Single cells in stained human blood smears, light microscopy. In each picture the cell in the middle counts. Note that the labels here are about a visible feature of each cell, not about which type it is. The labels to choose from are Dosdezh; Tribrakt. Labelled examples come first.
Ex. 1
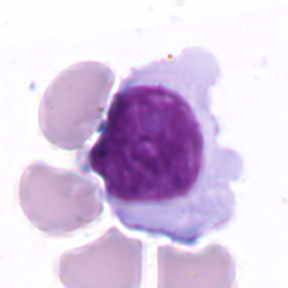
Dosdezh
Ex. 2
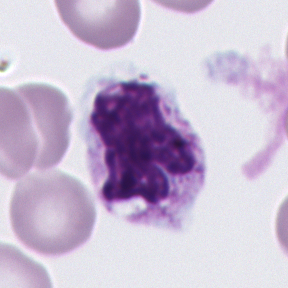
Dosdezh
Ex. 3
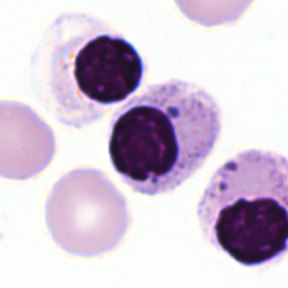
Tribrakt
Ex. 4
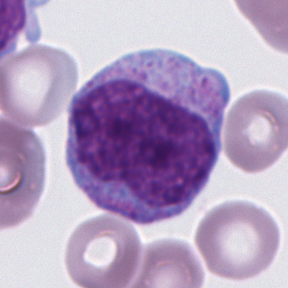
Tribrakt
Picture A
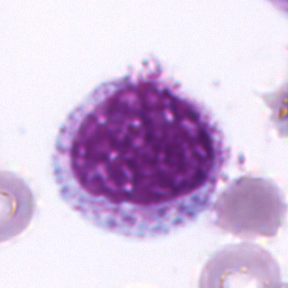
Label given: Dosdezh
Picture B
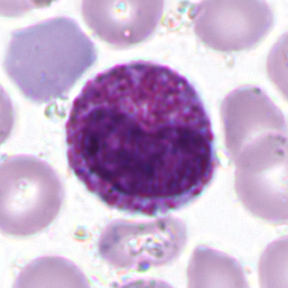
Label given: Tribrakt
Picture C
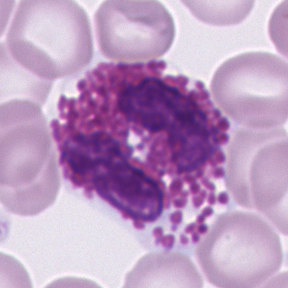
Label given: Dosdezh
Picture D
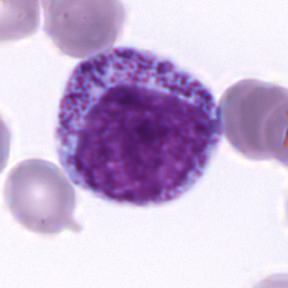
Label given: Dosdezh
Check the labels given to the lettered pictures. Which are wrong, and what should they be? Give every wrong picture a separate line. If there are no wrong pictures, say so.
D should be Tribrakt, not Dosdezh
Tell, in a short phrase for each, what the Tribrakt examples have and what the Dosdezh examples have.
Seen in Tribrakt: smooth outline; seen in Dosdezh: ragged outline or projections.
